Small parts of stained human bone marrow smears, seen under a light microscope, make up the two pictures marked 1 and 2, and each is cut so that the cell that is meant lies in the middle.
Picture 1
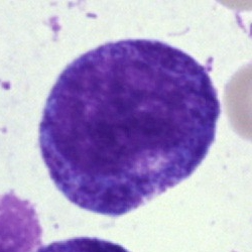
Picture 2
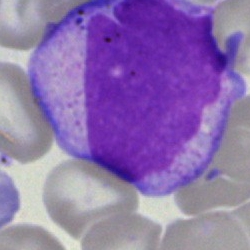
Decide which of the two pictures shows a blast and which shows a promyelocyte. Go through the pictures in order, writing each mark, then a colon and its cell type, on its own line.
1: promyelocyte
2: blast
